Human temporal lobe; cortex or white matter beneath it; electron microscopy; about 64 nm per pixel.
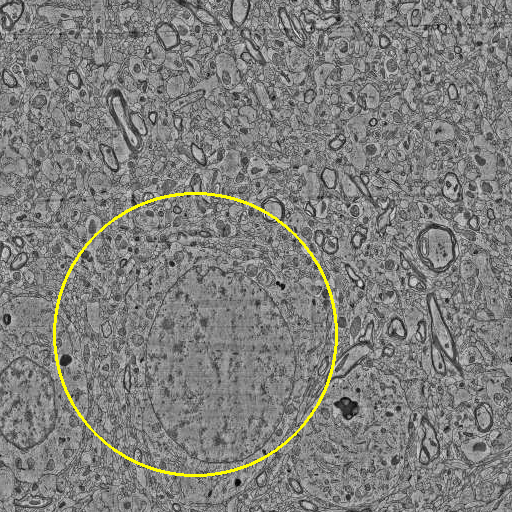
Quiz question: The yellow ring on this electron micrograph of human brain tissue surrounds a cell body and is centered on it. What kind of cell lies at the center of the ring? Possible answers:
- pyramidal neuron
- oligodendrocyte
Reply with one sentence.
The ring's center lies on a pyramidal neuron.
